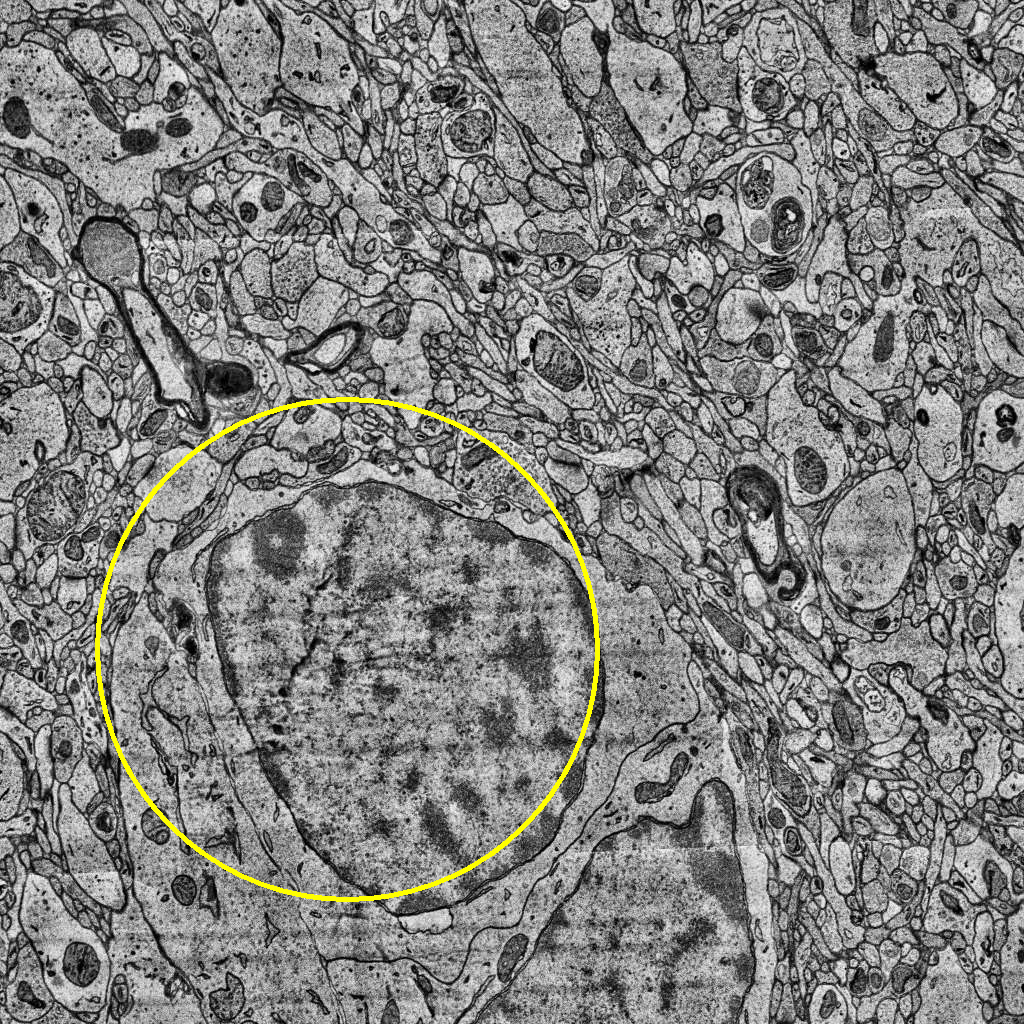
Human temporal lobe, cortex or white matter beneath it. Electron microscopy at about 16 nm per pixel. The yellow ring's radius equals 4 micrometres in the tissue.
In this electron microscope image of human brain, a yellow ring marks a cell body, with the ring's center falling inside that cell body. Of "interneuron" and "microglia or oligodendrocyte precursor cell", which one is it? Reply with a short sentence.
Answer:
It is a microglial cell or oligodendrocyte precursor cell at the center of the ring.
